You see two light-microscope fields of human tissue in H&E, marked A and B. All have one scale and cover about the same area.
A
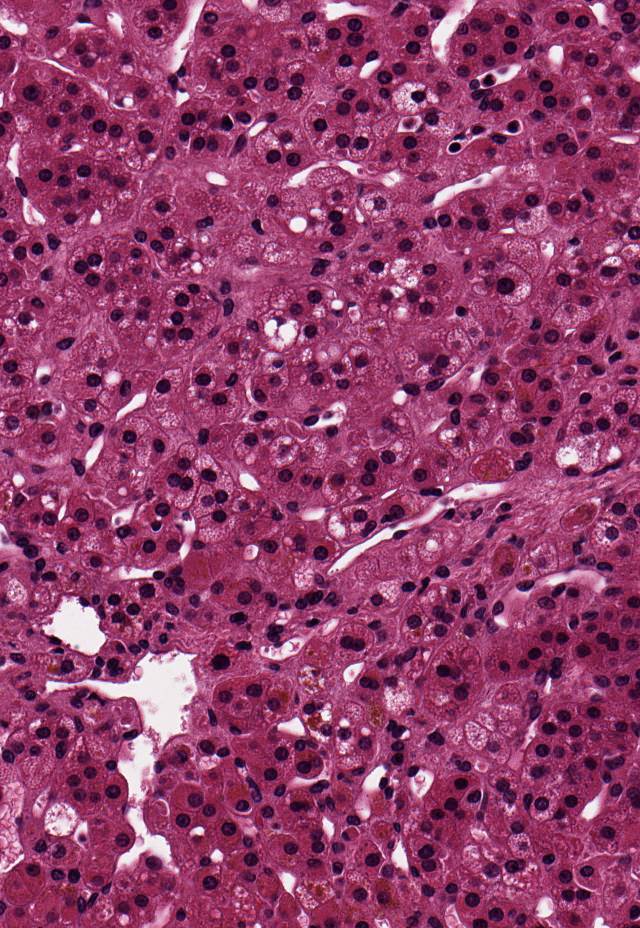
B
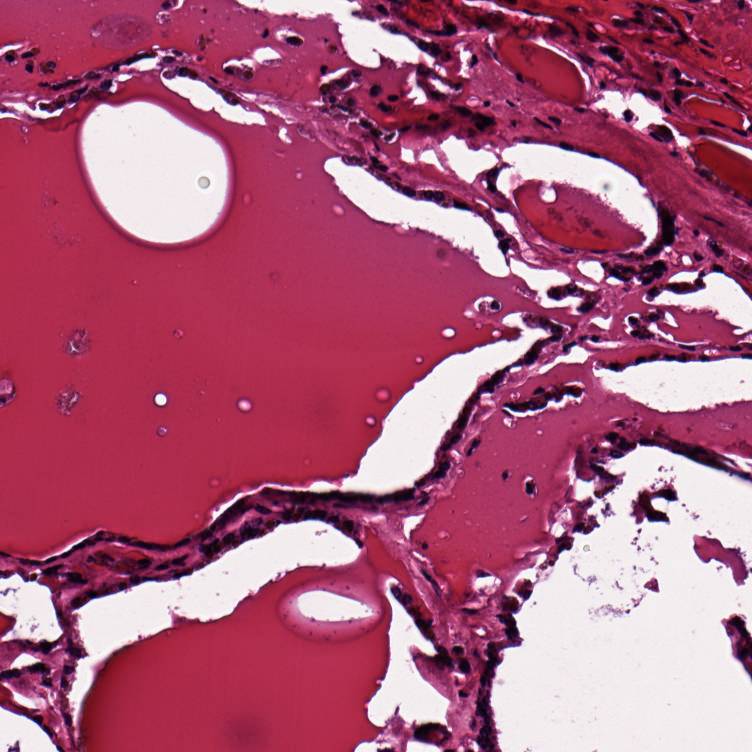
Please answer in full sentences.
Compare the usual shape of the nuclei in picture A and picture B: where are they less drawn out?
Rounder nuclei lie in picture A.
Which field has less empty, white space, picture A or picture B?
Unstained space takes up less of picture A than of picture B.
